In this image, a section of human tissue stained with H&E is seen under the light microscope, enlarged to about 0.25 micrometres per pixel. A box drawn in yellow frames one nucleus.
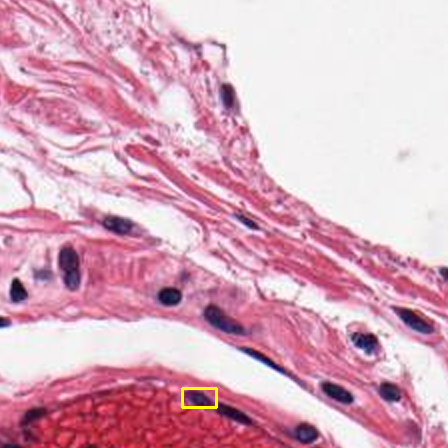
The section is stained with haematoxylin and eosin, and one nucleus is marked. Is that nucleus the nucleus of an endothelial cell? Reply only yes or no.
yes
